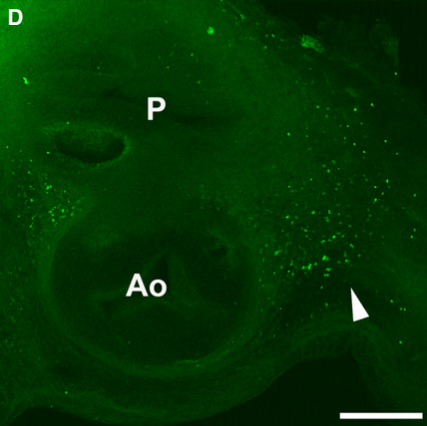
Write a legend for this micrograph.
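Small bright green dots, each the size of a single nucleus, are scattered through the tissue. The arterial walls and the lumens themselves are nearly free of bright dots. The dots are separate and round rather than forming a continuous sheet.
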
